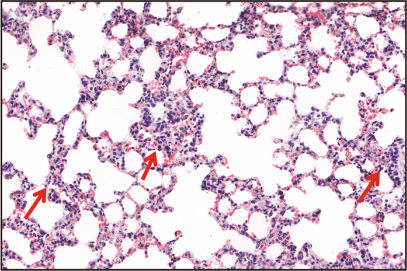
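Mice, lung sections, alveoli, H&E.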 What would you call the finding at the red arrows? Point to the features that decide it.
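Alveolar walls are thickened by clusters of dark-purple nuclei. Cell clusters are crowded at the points the arrows mark.
Hence: inflammation cell infiltration.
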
